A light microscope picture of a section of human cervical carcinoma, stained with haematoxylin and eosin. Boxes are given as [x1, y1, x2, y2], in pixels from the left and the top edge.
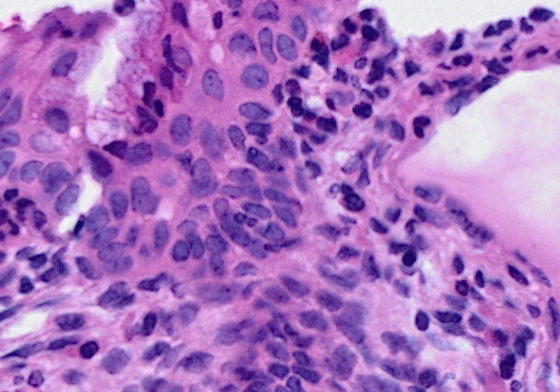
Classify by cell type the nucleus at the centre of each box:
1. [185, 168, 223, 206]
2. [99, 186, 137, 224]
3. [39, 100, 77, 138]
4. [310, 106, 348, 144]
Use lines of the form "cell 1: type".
cell 1: secretory epithelial cell
cell 2: secretory epithelial cell
cell 3: secretory epithelial cell
cell 4: lymphocyte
